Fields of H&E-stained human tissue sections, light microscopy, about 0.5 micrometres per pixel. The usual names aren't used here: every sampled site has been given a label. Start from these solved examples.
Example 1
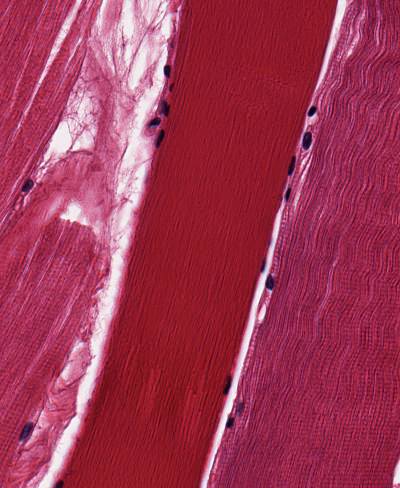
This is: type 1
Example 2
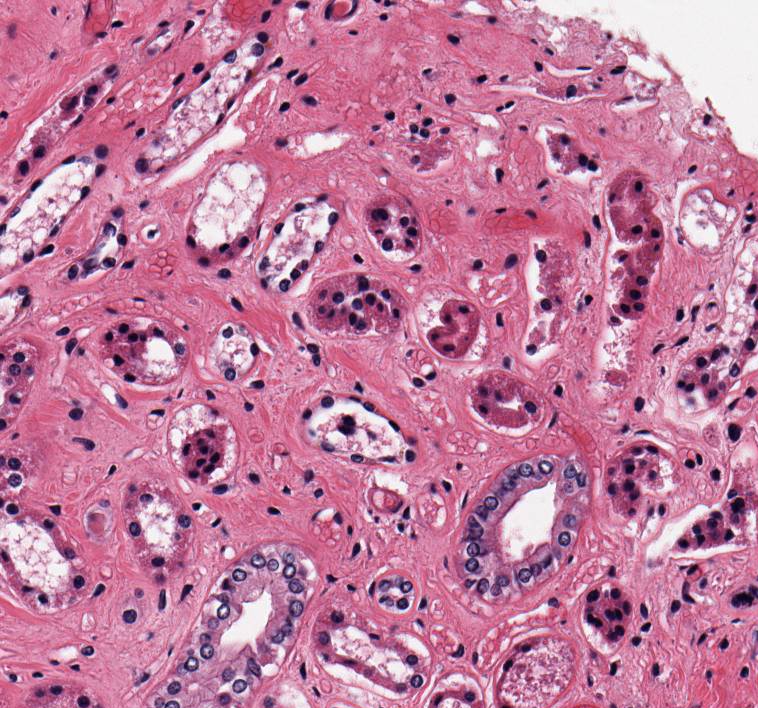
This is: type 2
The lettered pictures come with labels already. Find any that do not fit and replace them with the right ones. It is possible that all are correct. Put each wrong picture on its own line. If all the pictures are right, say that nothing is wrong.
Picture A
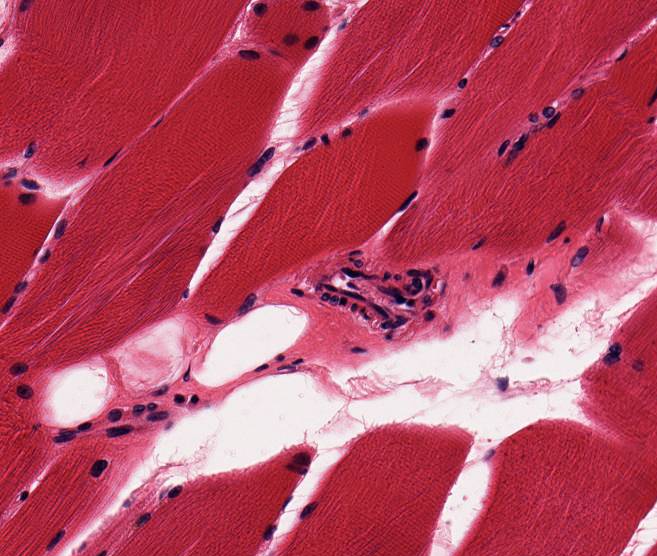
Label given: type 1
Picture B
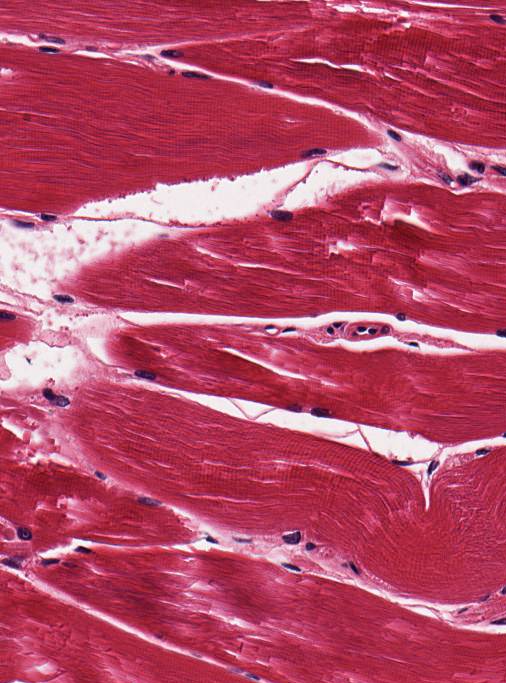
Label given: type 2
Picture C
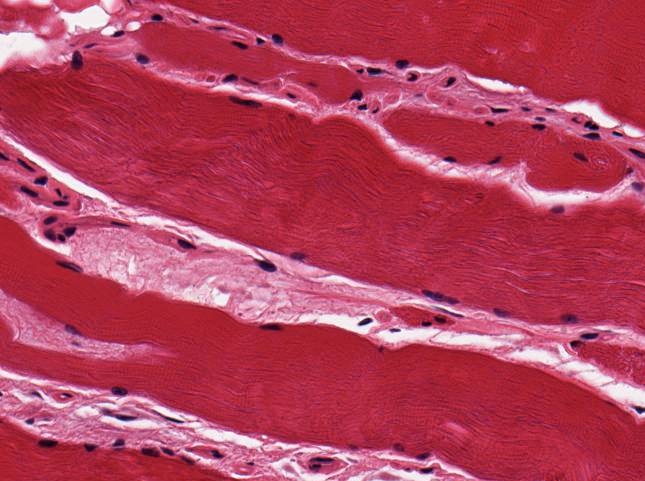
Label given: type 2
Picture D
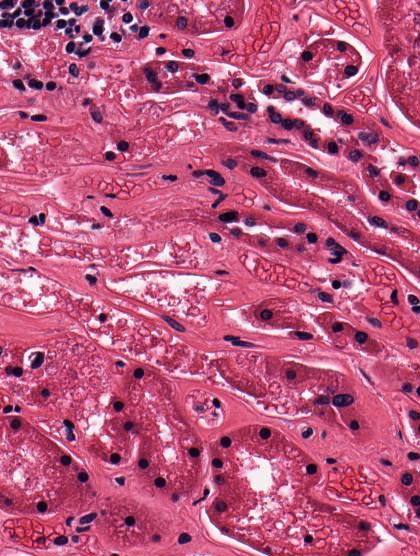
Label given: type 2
B: type 1, not type 2
C: type 1, not type 2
